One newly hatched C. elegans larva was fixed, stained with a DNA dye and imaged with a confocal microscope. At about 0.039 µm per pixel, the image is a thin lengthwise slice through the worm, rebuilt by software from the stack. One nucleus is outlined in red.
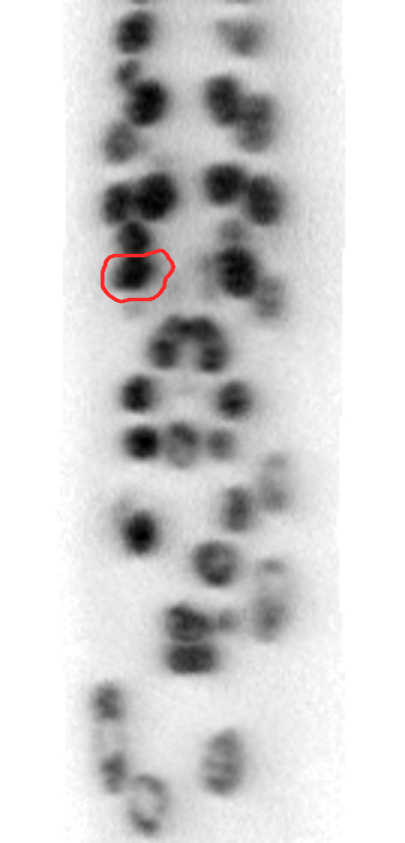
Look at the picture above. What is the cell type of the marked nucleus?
neuron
